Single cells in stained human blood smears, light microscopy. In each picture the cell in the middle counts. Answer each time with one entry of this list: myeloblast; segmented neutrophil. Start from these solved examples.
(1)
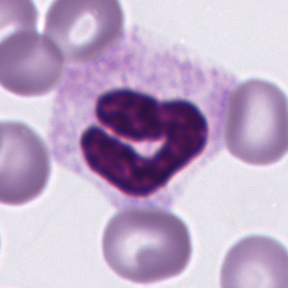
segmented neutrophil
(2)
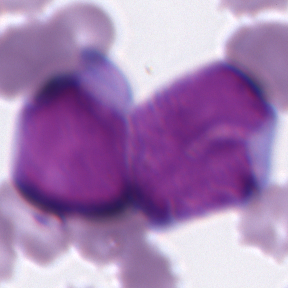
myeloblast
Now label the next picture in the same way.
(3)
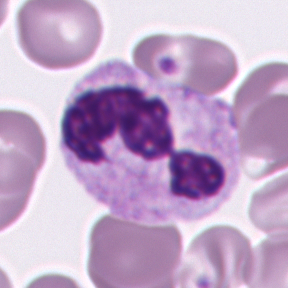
segmented neutrophil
